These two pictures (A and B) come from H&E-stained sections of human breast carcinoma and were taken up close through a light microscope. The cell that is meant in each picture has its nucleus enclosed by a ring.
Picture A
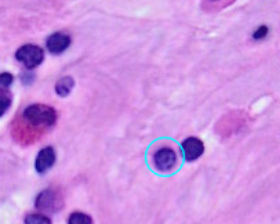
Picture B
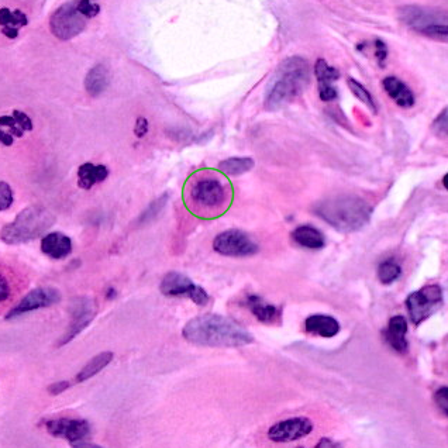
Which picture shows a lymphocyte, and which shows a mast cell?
A: lymphocyte
B: mast cell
